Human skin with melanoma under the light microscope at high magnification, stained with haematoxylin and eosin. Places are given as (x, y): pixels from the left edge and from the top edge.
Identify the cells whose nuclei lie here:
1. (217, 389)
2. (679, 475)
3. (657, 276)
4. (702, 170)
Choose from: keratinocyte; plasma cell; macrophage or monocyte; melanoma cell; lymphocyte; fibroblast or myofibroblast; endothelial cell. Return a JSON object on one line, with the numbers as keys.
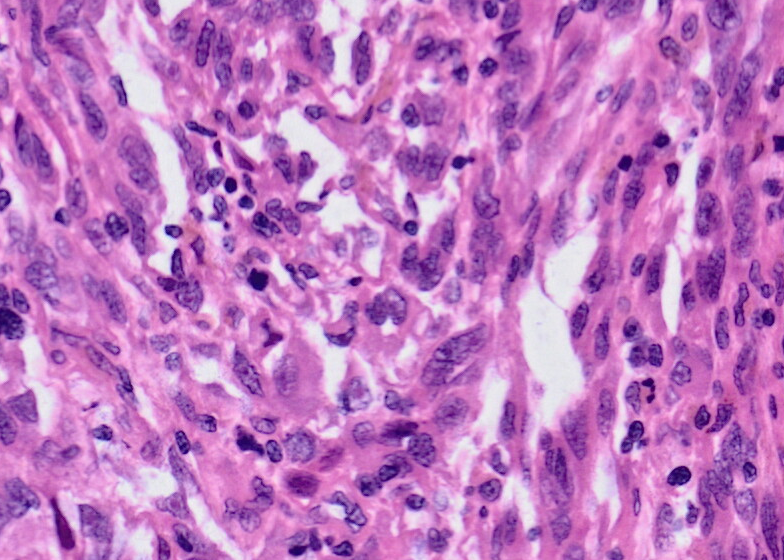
{"1": "melanoma cell", "2": "lymphocyte", "3": "melanoma cell", "4": "melanoma cell"}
